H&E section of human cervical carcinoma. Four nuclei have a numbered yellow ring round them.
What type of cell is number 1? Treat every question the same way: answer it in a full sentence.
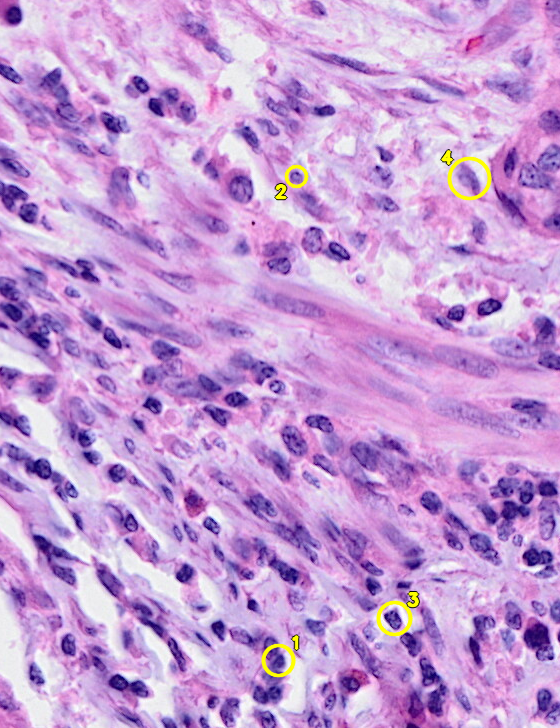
Within this field of view, the cell labelled 1 is a lymphocyte.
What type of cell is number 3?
The numbered cell 3 is identified here as a lymphocyte.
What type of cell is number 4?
The cell that carries the label 4 is a fibroblast.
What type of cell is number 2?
In the marked set, the cell given number 2 is a fibroblast.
